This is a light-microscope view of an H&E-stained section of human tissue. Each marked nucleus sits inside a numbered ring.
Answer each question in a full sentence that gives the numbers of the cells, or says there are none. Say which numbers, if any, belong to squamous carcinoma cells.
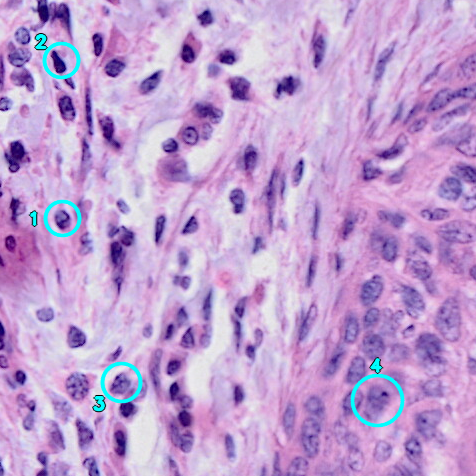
Of the cells carrying numbers, just cell 4 is a squamous carcinoma cell.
